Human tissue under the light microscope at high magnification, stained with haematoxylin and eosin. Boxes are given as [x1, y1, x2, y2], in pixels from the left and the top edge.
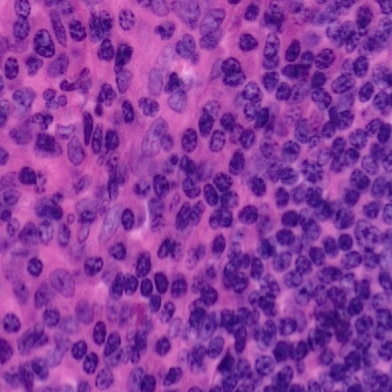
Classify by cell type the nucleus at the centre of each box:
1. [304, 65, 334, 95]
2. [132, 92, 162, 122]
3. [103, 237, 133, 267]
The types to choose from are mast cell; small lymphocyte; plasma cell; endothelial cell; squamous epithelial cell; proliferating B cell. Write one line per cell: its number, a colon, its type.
1: small lymphocyte
2: endothelial cell
3: plasma cell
